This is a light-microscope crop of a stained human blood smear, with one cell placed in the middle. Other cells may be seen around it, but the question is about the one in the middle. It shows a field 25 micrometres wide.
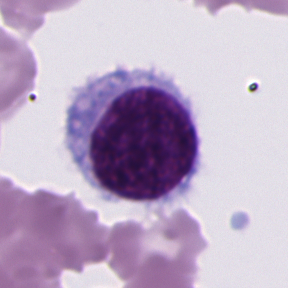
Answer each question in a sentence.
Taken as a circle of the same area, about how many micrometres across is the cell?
It measures about 12 micrometres across.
